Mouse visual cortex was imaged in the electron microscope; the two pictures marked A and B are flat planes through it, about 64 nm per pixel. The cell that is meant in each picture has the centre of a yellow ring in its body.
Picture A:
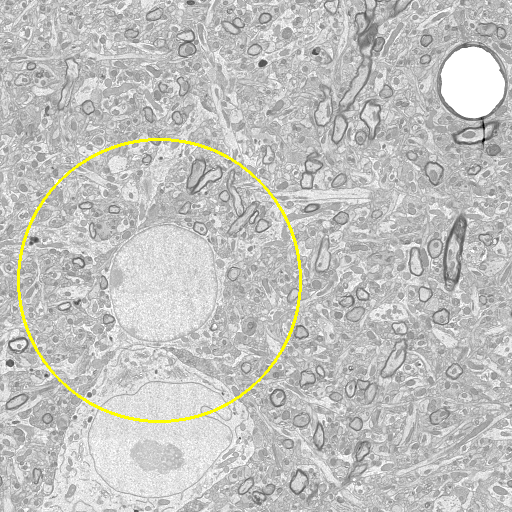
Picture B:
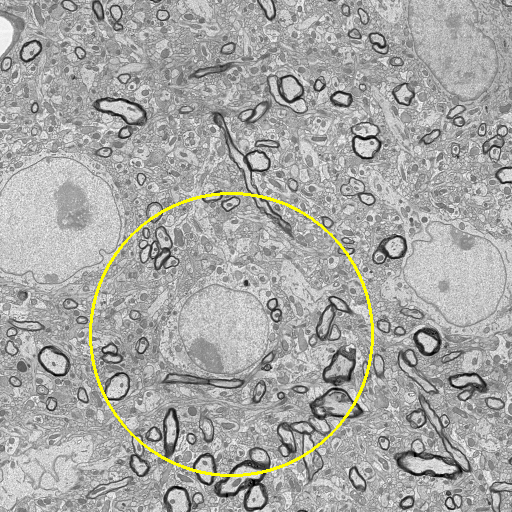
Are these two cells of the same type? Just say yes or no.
yes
